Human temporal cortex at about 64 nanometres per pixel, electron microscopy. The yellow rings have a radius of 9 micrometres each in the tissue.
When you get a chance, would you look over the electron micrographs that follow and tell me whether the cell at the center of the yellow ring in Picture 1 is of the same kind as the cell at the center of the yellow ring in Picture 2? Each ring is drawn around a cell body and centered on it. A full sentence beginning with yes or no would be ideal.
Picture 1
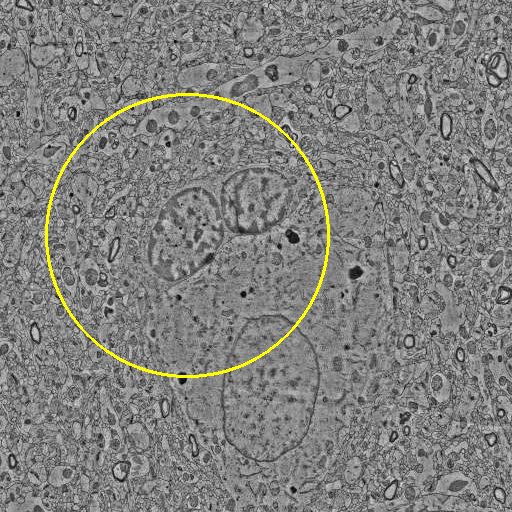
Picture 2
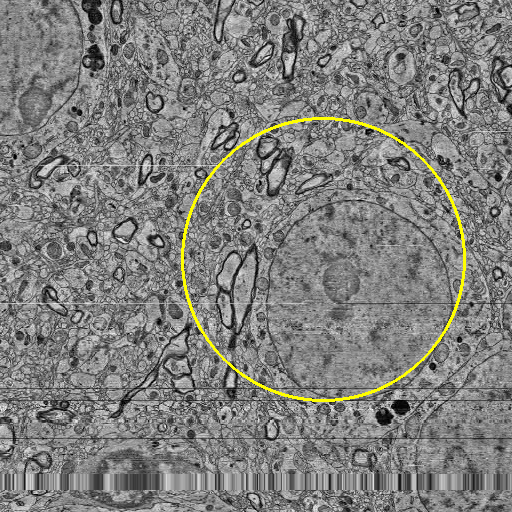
No, they are two kinds of cell.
